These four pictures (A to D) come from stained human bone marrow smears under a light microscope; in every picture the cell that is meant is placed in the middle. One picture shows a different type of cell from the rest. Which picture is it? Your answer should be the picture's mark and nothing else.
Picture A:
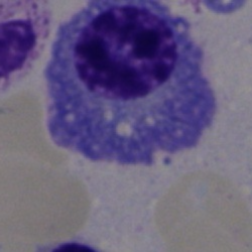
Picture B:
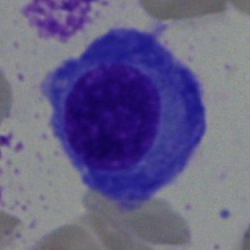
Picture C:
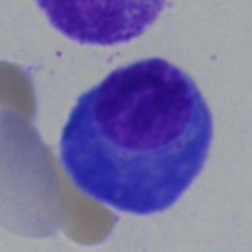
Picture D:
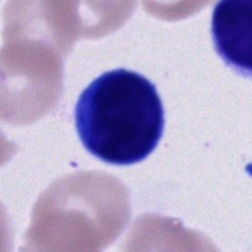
D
